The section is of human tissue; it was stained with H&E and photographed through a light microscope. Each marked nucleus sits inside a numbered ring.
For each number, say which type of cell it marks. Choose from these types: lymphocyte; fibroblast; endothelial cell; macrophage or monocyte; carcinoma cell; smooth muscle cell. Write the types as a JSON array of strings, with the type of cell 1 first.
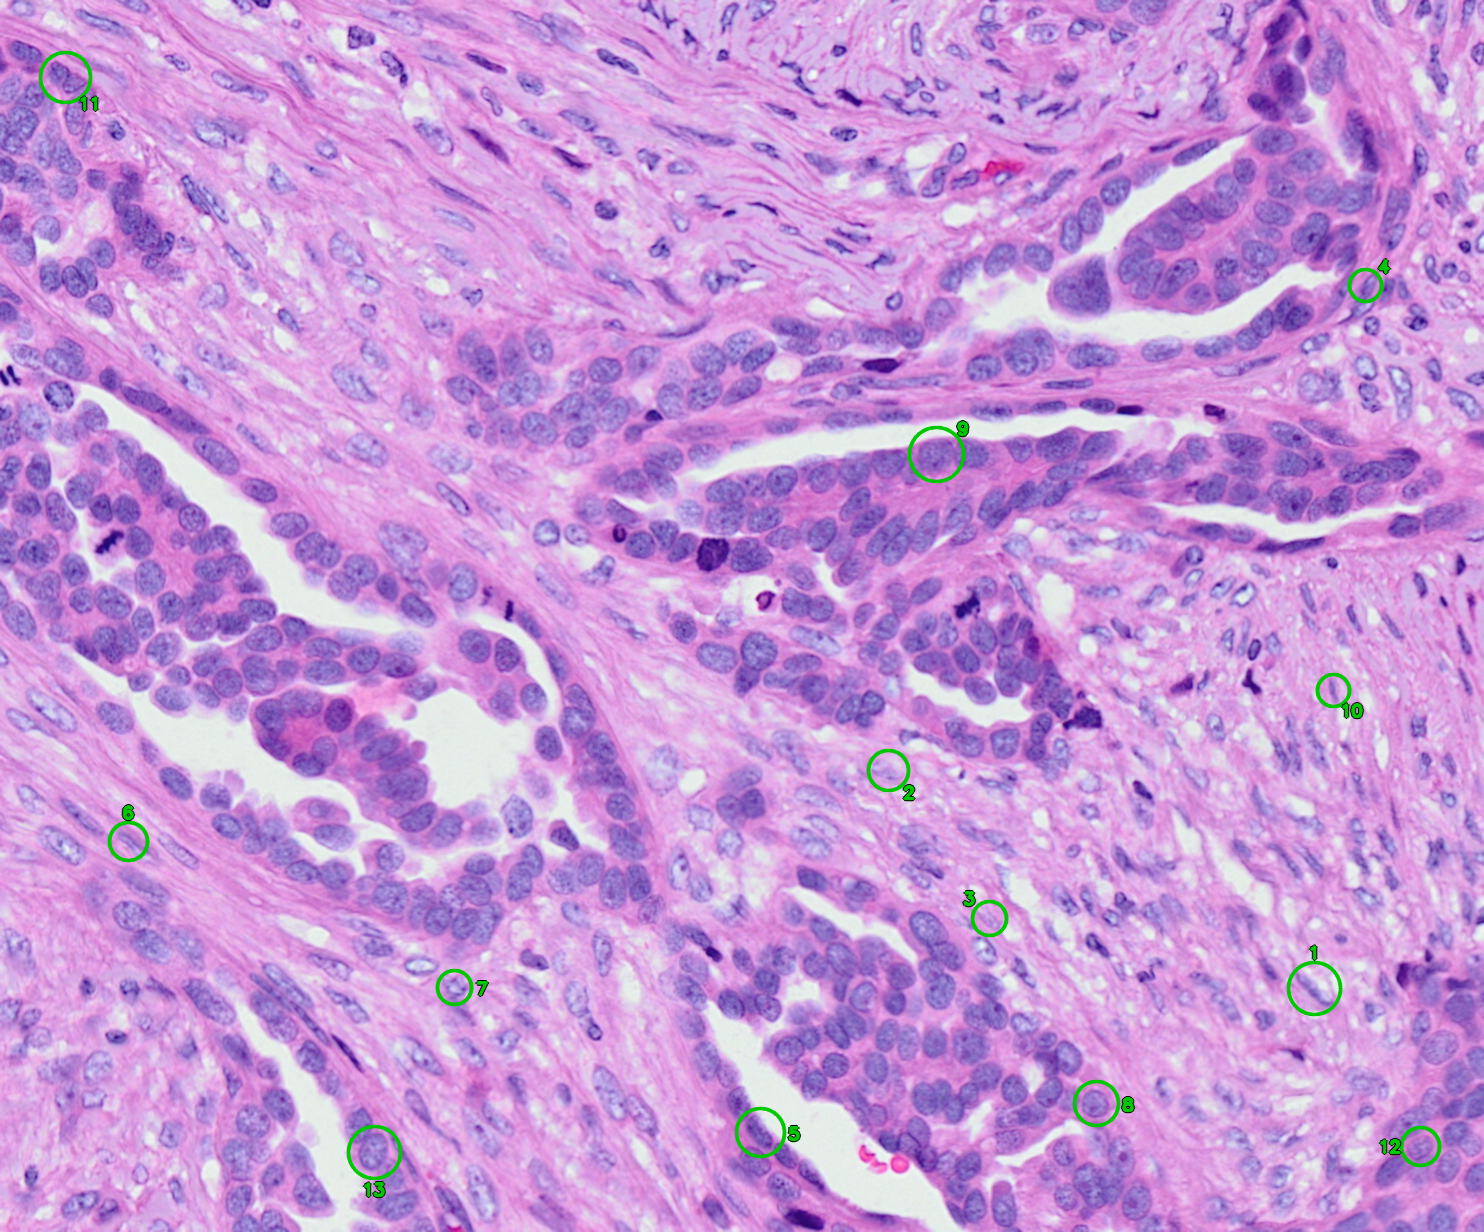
["fibroblast", "fibroblast", "fibroblast", "fibroblast", "carcinoma cell", "fibroblast", "fibroblast", "carcinoma cell", "carcinoma cell", "fibroblast", "carcinoma cell", "carcinoma cell", "carcinoma cell"]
